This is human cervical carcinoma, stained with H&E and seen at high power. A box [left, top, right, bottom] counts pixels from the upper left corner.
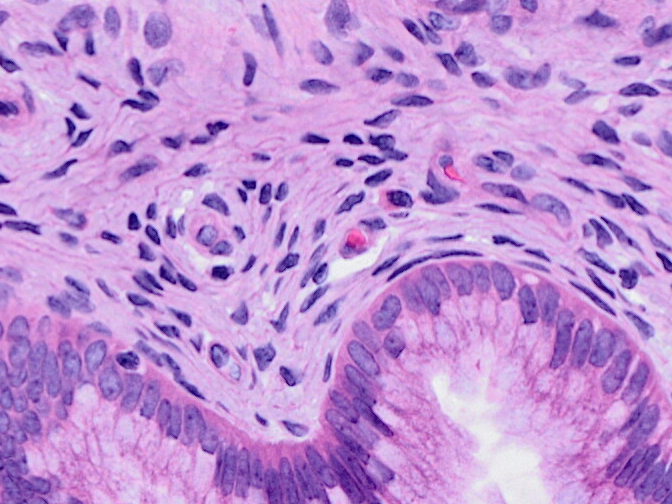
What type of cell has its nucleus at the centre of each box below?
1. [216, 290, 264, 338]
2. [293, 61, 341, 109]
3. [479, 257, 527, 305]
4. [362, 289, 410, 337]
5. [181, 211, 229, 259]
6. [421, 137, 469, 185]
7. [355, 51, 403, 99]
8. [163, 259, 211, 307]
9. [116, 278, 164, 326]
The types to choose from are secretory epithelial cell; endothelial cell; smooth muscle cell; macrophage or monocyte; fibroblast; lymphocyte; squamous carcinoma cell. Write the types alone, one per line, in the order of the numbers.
fibroblast
fibroblast
secretory epithelial cell
secretory epithelial cell
endothelial cell
endothelial cell
fibroblast
fibroblast
fibroblast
